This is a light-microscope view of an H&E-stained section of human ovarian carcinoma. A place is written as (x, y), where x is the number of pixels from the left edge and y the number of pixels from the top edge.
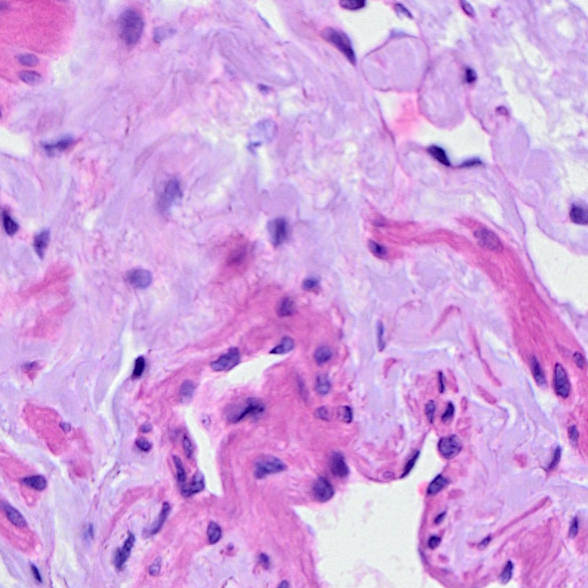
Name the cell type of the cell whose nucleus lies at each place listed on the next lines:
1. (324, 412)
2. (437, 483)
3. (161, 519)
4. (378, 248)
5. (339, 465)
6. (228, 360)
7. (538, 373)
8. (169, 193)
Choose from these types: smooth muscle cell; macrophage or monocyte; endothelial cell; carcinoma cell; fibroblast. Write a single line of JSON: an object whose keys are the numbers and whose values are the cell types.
{"1": "smooth muscle cell", "2": "endothelial cell", "3": "fibroblast", "4": "smooth muscle cell", "5": "endothelial cell", "6": "endothelial cell", "7": "smooth muscle cell", "8": "fibroblast"}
